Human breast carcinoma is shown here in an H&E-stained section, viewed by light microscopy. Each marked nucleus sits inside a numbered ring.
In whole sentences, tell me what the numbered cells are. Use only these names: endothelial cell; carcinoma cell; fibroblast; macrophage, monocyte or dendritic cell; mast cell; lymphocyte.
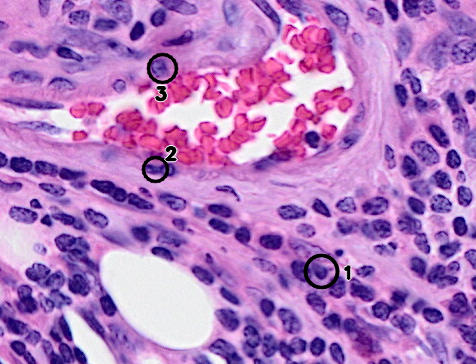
Cell 1 is a lymphocyte, cell 2 is an endothelial cell and cell 3 is an endothelial cell.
